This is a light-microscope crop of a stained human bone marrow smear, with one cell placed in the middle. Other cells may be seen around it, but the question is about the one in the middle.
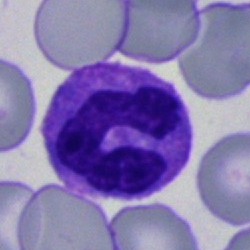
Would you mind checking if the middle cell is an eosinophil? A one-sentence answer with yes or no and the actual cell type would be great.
No, the centrally located cell is a band neutrophil rather than an eosinophil.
